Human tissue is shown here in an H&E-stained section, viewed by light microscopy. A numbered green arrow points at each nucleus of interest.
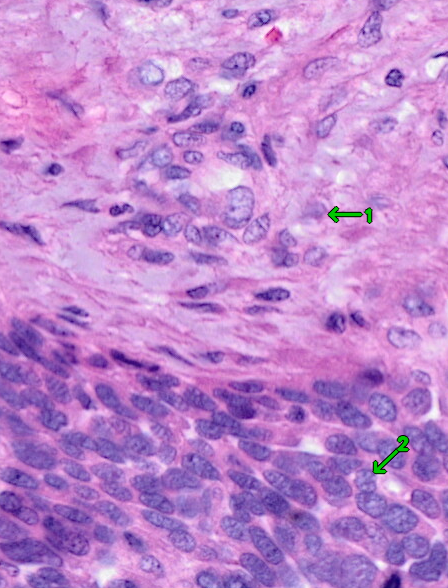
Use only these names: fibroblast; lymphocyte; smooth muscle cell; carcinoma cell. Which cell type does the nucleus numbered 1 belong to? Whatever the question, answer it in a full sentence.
What the number 1 marks in this field is a fibroblast.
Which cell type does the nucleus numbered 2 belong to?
The correct answer for cell 2 is a carcinoma cell.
